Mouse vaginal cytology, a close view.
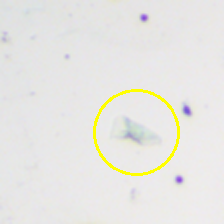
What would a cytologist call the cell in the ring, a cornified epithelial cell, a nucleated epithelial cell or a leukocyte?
A cytologist would call it a cornified epithelial cell.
